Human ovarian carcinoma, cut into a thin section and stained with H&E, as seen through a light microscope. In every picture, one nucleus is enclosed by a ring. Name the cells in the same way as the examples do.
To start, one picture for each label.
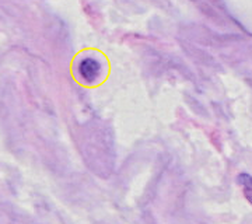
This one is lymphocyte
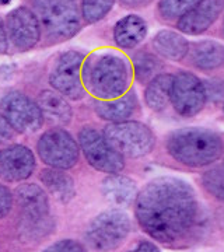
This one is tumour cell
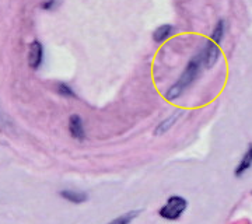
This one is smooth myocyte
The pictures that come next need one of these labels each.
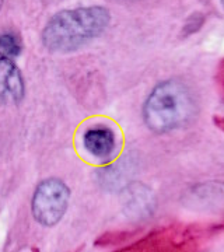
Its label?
lymphocyte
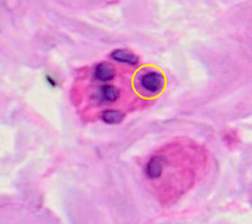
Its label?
smooth myocyte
